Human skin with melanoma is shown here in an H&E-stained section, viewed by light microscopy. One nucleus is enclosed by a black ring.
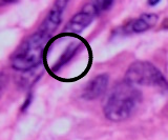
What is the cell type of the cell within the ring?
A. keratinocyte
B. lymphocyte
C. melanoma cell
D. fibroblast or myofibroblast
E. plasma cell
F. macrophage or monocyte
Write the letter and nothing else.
C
